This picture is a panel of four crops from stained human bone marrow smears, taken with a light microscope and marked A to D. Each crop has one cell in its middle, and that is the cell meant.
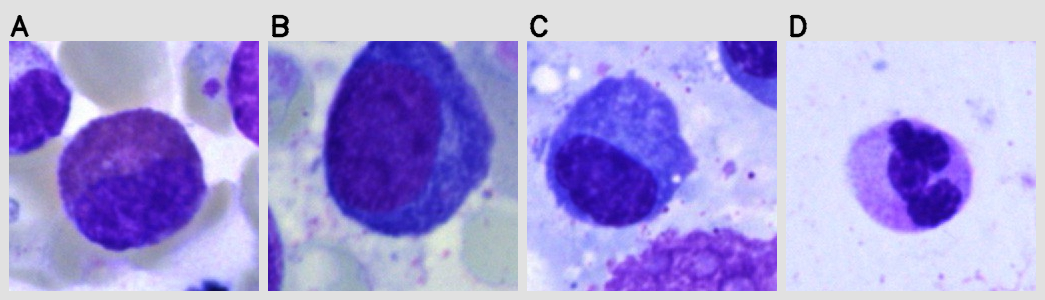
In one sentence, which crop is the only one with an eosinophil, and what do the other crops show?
The cell in crop A is an eosinophil, while crop B is a proerythroblast, crop C is a plasma cell and crop D is a segmented neutrophil.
